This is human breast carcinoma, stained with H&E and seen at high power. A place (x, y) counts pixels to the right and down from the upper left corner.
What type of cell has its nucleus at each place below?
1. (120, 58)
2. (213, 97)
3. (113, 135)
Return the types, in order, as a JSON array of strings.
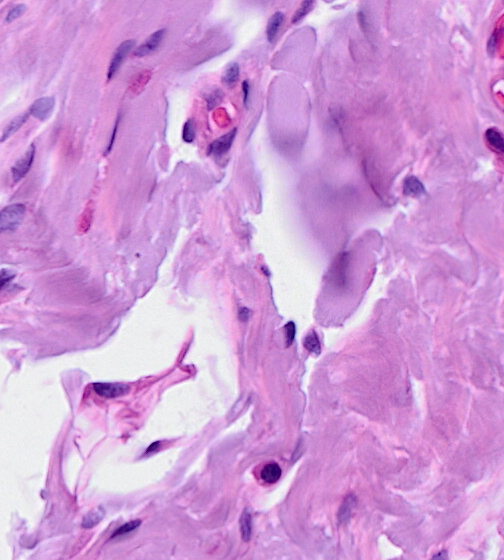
["fibroblast", "endothelial cell", "fibroblast"]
